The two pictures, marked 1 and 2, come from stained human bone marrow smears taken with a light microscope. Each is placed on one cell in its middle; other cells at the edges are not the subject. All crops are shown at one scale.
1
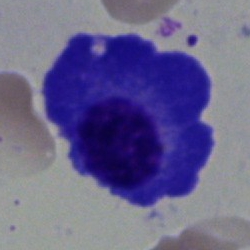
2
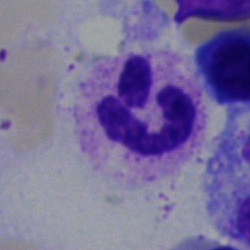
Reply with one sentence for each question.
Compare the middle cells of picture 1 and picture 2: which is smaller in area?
Smaller is the cell in picture 2, and the other is about 1.5 times as large in area.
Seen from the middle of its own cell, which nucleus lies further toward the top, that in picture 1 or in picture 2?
It is the nucleus in picture 2 that lies further toward the top of its cell.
